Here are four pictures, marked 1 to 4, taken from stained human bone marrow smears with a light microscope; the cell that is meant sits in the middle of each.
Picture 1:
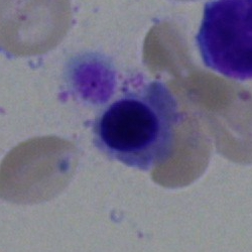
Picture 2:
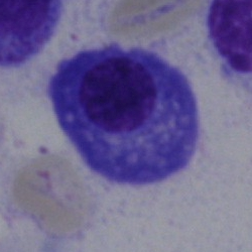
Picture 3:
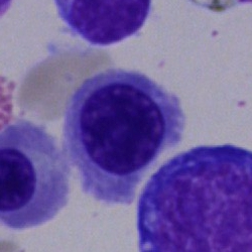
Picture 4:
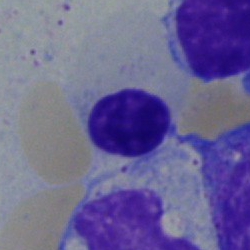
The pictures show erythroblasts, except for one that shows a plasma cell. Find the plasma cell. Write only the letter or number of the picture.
2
